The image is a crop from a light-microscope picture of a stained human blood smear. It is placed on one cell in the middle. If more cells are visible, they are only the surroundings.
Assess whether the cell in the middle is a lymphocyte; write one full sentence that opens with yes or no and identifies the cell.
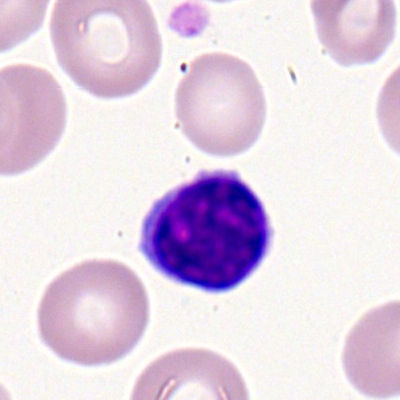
Yes, the cell centred in the field of view is a lymphocyte.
